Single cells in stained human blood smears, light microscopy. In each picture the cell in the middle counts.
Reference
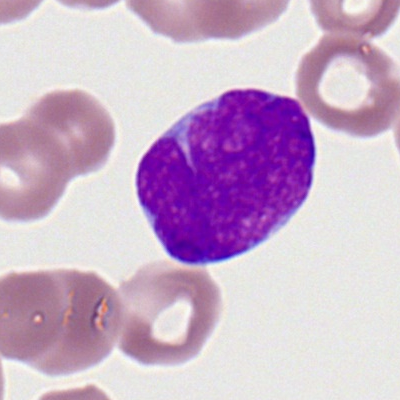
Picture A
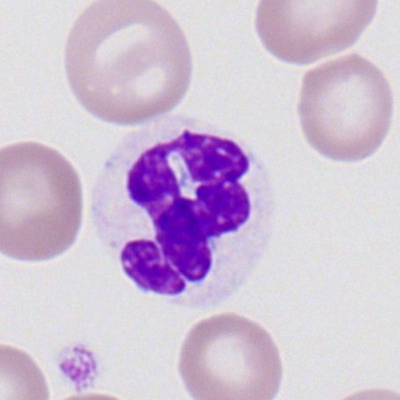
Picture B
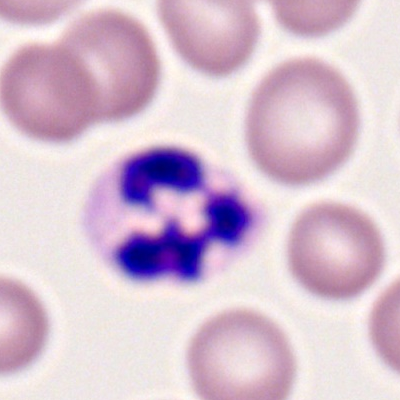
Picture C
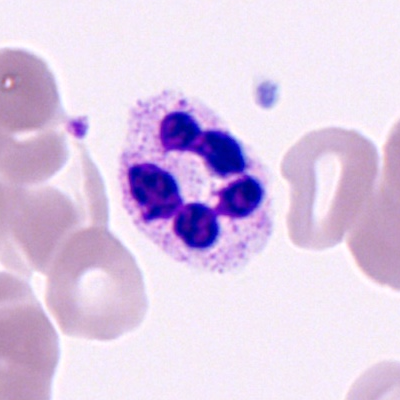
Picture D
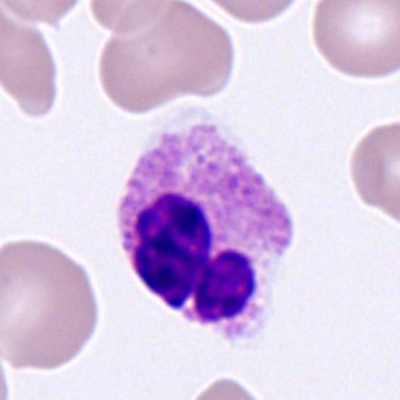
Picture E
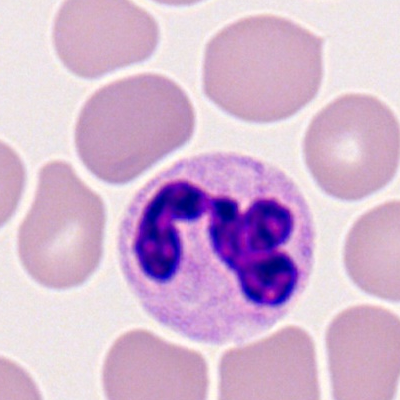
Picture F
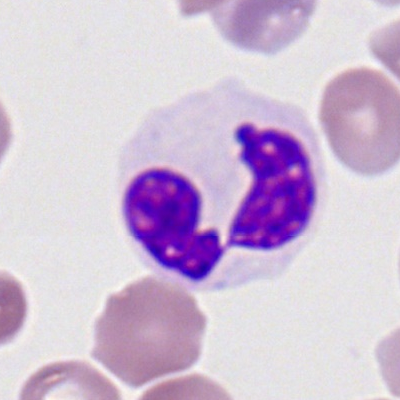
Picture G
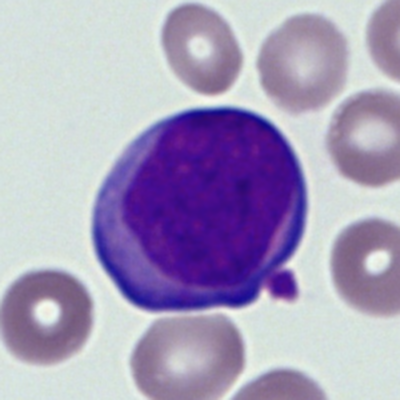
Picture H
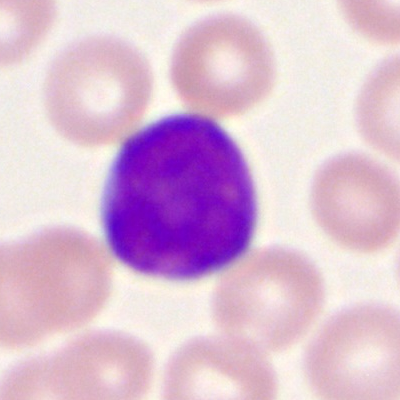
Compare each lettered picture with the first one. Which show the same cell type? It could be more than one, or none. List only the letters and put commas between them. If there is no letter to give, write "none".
G, H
